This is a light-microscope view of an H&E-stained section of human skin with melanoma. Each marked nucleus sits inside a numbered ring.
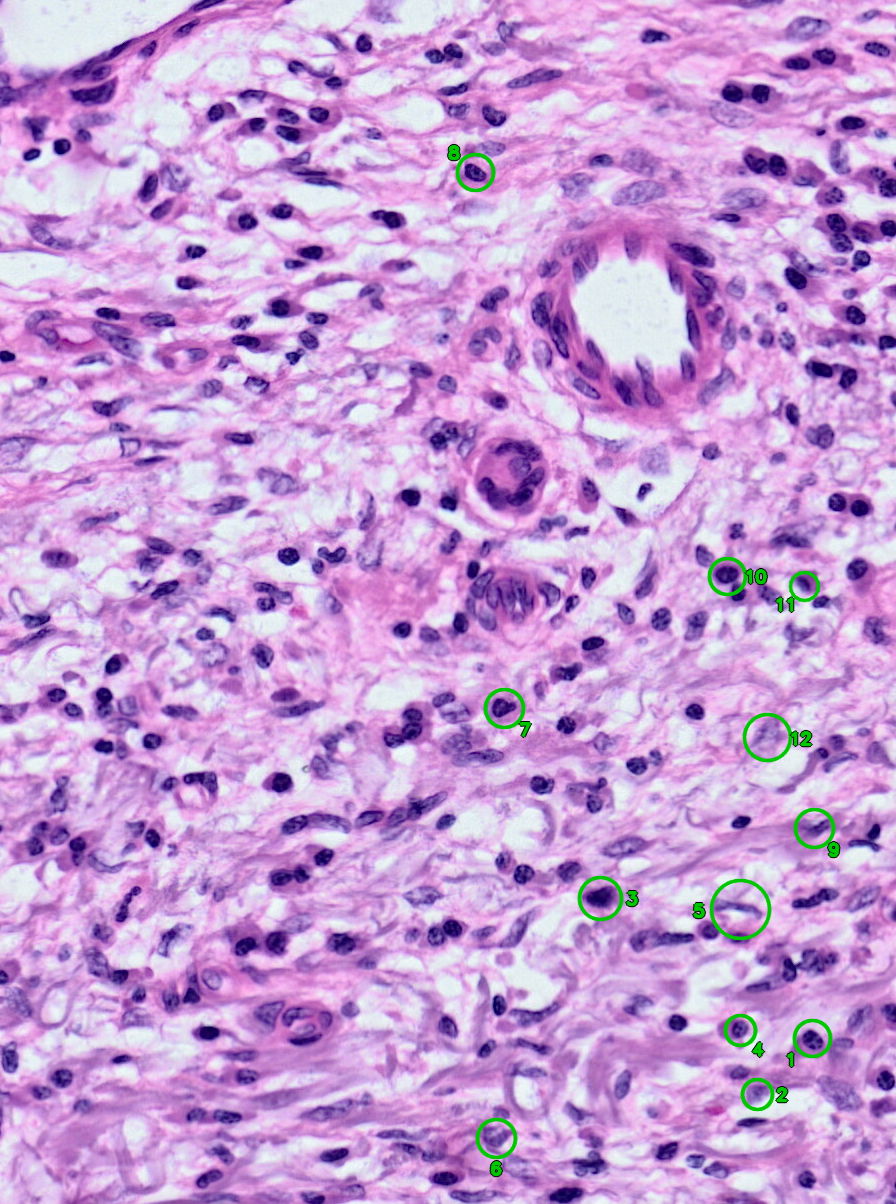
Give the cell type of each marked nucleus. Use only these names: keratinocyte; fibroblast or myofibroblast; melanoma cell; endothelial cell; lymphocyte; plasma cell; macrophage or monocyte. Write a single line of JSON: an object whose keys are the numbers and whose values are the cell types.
{"1": "plasma cell", "2": "endothelial cell", "3": "plasma cell", "4": "plasma cell", "5": "fibroblast or myofibroblast", "6": "fibroblast or myofibroblast", "7": "plasma cell", "8": "plasma cell", "9": "fibroblast or myofibroblast", "10": "plasma cell", "11": "plasma cell", "12": "fibroblast or myofibroblast"}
